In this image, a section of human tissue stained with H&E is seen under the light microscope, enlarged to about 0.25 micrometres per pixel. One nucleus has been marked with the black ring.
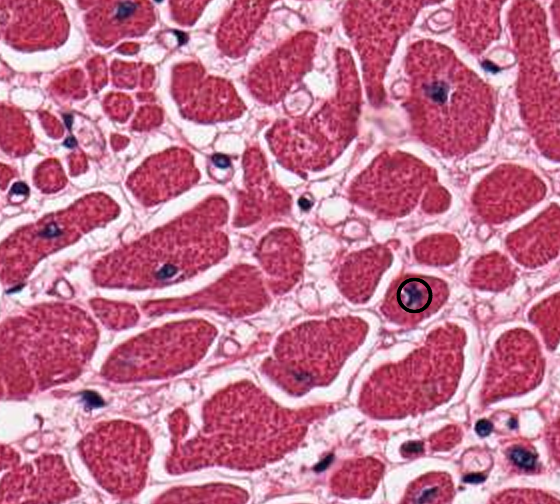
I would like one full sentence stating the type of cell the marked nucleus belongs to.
Within the picture, the marked nucleus belongs to a cardiomyocyte.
